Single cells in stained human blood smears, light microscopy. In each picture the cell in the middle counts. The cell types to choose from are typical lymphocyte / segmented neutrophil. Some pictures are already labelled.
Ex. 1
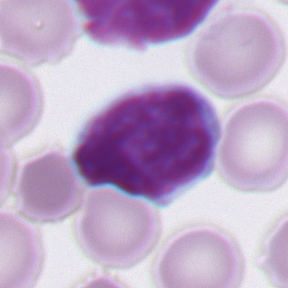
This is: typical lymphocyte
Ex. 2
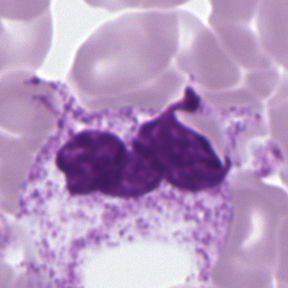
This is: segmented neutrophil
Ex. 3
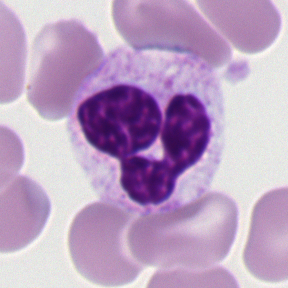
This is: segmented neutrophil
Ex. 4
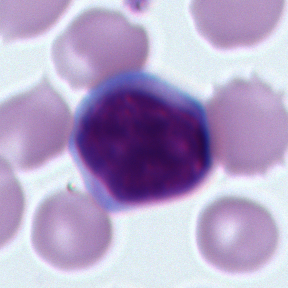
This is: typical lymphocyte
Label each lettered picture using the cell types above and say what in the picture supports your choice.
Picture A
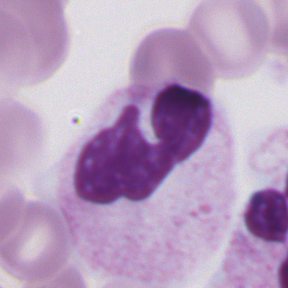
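segmented neutrophil: The cytoplasm is abundant and pale pinkish-lilac.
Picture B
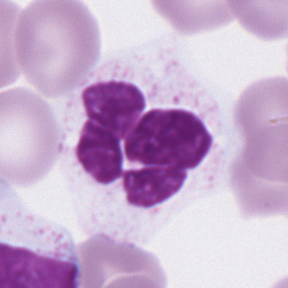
segmented neutrophil: The nucleus is divided into four separate lobes.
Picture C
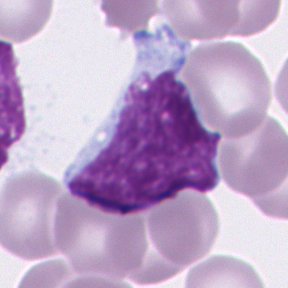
typical lymphocyte: The nucleus fills most of the cell.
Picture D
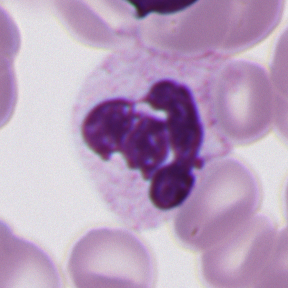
segmented neutrophil: The nucleus is divided into several lobes.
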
